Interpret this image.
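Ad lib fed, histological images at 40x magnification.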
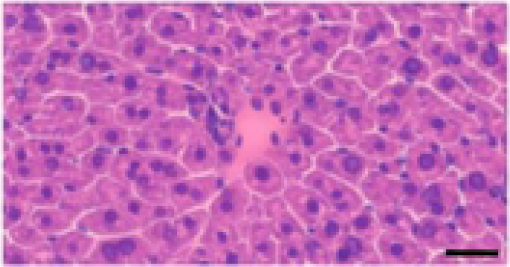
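Liver tissue made of large polygonal hepatocytes arranged in plates that radiate around a central vessel lumen. Each cell has a round, centrally placed purple nucleus and abundant evenly pink cytoplasm, with some cells carrying two nuclei. Narrow pale sinusoidal spaces separate the cell plates, giving a regular cobblestone pattern.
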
